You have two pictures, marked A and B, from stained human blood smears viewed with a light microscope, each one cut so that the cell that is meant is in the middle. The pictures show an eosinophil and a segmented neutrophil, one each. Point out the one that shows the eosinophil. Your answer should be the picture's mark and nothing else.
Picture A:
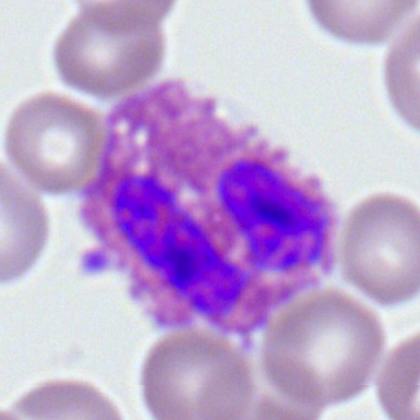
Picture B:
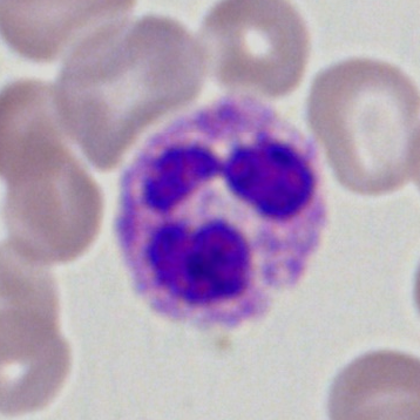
A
